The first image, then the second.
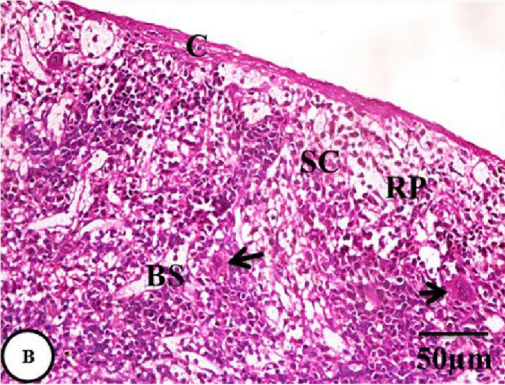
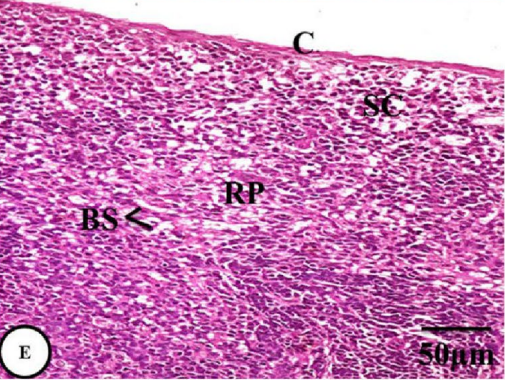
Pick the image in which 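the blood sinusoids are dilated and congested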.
The first image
